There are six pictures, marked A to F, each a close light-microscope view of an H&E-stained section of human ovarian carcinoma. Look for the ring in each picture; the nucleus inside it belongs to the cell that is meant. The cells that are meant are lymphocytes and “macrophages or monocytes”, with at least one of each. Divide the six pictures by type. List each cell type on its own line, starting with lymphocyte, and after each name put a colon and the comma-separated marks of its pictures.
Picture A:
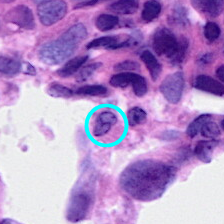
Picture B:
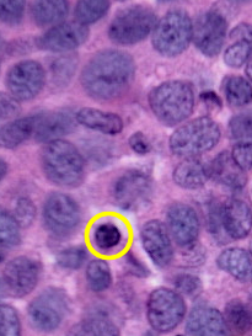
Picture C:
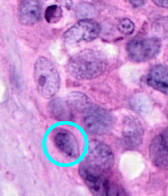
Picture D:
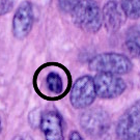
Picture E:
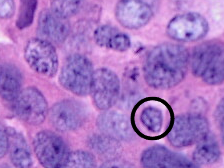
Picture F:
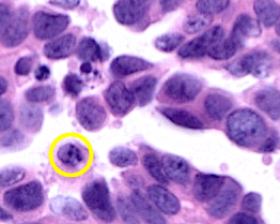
lymphocyte: B, D
macrophage or monocyte: A, C, E, F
